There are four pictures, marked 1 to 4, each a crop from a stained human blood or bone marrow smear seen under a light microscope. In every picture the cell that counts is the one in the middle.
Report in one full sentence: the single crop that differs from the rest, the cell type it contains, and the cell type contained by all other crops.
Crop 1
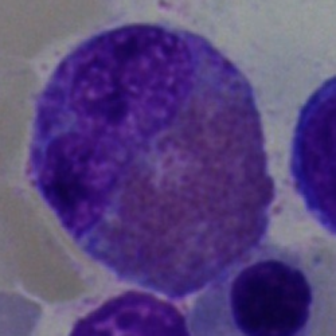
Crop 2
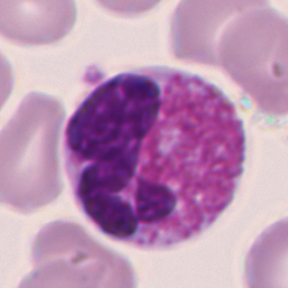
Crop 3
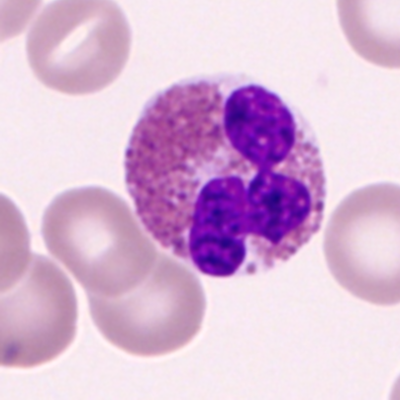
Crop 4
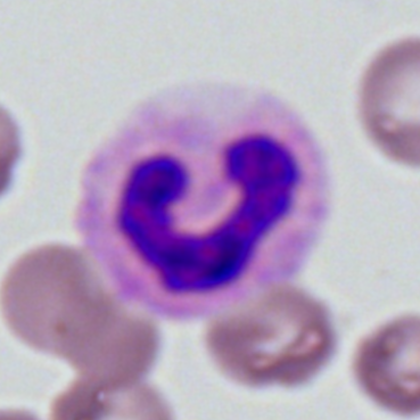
Crop 4 differs: it is a band neutrophil, and all the other crops show eosinophils.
